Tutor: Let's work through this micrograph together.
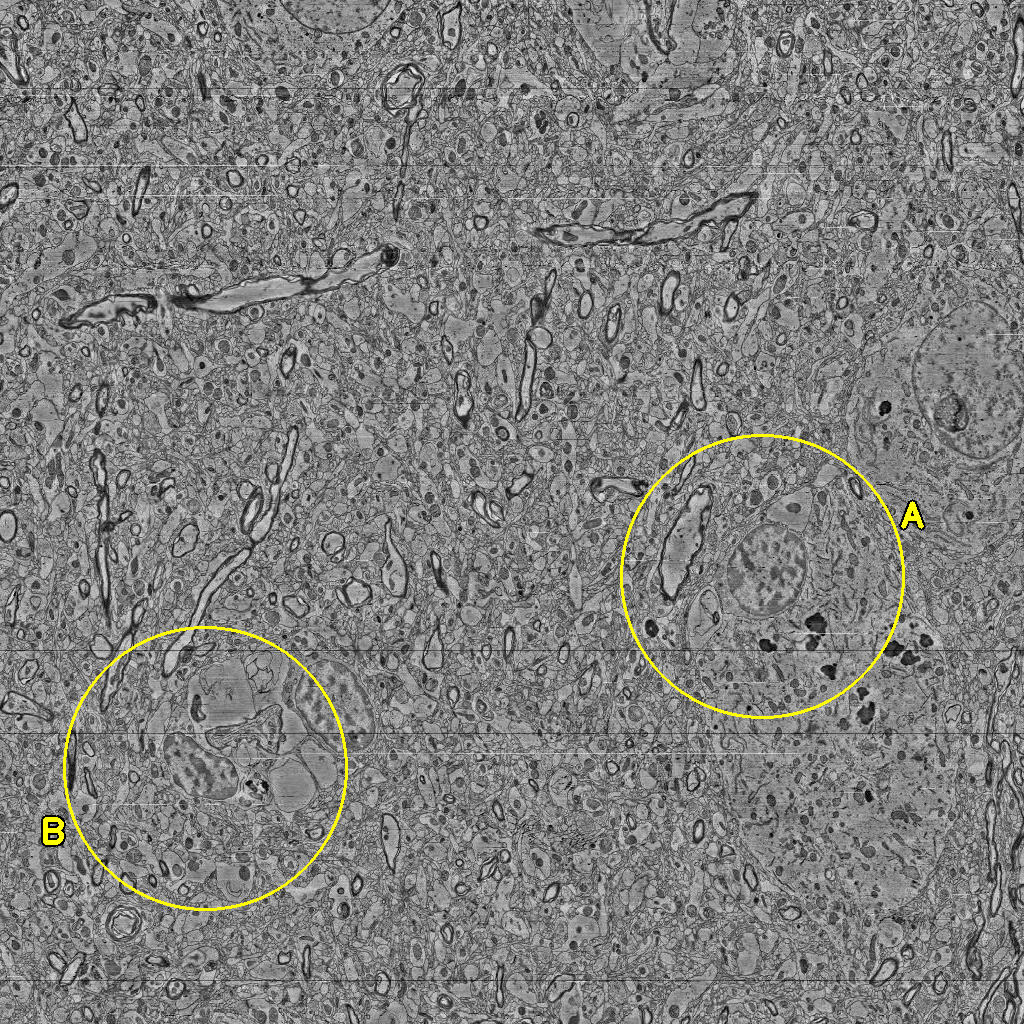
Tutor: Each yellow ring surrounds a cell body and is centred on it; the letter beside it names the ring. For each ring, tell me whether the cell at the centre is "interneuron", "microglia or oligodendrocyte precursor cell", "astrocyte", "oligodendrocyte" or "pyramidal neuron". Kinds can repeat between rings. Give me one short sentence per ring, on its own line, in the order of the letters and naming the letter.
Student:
The ring labelled A is centred on an oligodendrocyte.
The ring labelled B is centred on a microglial cell or oligodendrocyte precursor cell.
